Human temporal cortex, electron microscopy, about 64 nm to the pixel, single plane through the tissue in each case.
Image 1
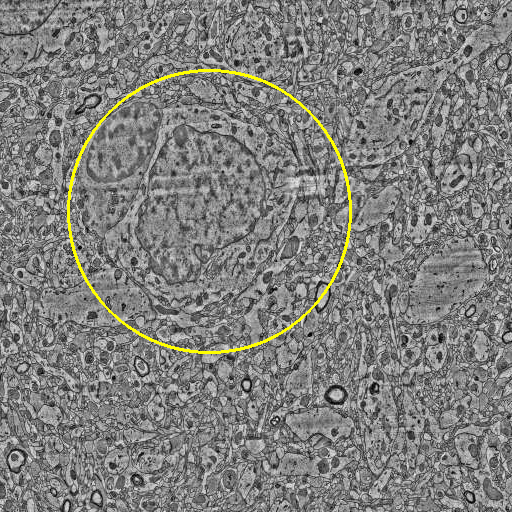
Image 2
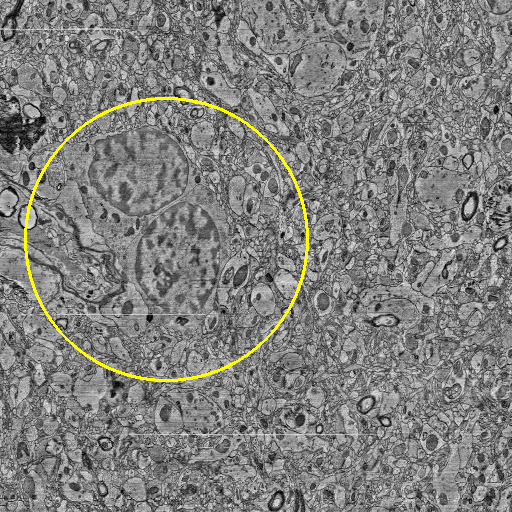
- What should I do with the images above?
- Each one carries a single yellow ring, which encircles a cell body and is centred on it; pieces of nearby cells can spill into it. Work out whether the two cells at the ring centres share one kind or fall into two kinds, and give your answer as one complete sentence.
The ring-centre cells of Image 1 and Image 2 fall into two kinds.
